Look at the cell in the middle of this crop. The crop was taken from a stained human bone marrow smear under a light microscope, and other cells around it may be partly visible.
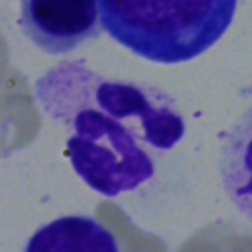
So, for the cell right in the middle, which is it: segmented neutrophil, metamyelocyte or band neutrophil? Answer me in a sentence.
On this slide crop, the central cell is a segmented neutrophil.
